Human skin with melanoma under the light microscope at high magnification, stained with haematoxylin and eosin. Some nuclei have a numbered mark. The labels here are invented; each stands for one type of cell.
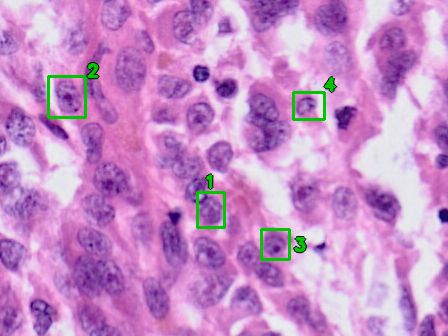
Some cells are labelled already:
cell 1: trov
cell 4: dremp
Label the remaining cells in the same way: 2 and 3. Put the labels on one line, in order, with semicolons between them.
trov; trov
